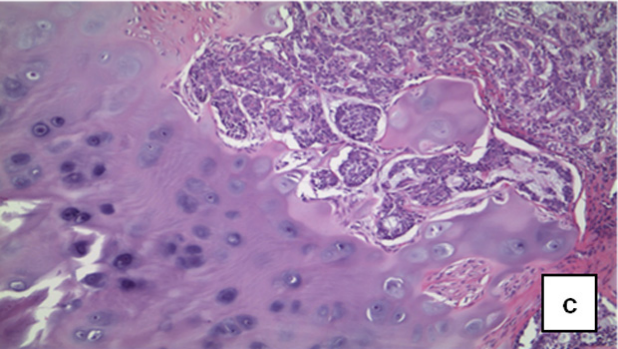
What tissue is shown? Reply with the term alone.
Cartilage.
